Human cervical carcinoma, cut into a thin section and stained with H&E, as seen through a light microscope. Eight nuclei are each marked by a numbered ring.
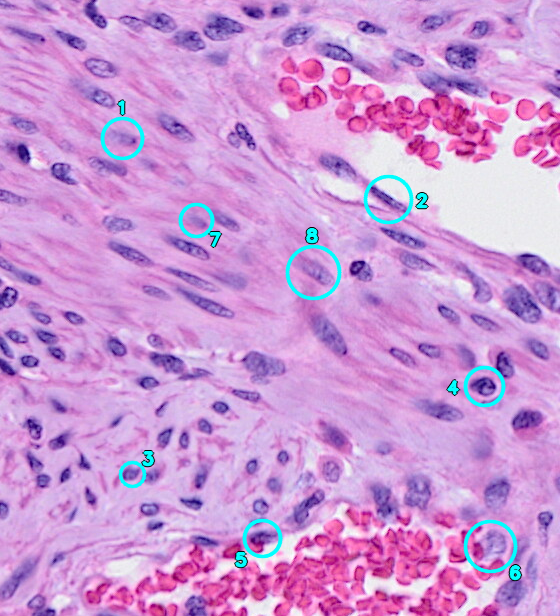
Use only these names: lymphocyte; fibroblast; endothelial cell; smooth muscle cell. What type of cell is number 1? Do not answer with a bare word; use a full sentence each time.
The one labeled 1 is a smooth muscle cell, to put it simply.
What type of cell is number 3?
The marked cell bearing number 3 is a smooth muscle cell.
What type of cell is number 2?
Cell 2, among those numbered, is an endothelial cell.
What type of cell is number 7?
The expected answer is that cell 7 is a smooth muscle cell.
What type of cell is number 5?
The cell numbered 5 has been identified as an endothelial cell.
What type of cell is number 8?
The cell numbered 8 has been identified as a smooth muscle cell.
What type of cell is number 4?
It is as a lymphocyte that the cell numbered 4 is identified.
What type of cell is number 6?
The cell indicated by marker 6 is an endothelial cell in this section.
